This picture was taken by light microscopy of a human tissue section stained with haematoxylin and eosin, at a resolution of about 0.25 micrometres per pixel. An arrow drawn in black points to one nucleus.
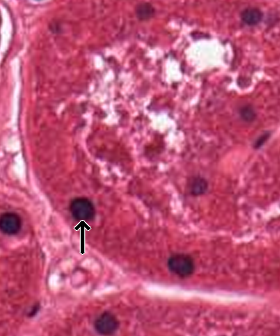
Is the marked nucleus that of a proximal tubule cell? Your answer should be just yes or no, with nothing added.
yes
